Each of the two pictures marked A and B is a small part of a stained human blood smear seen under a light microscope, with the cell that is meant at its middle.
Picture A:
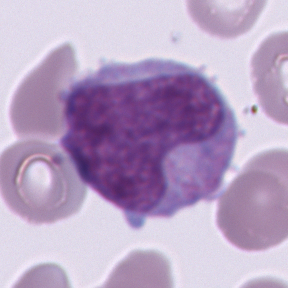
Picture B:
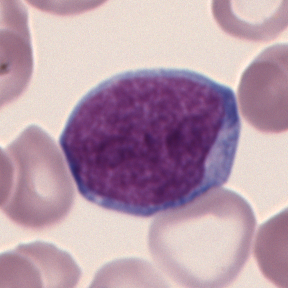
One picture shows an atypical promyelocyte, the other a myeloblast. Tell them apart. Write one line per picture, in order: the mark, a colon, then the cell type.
A: atypical promyelocyte
B: myeloblast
